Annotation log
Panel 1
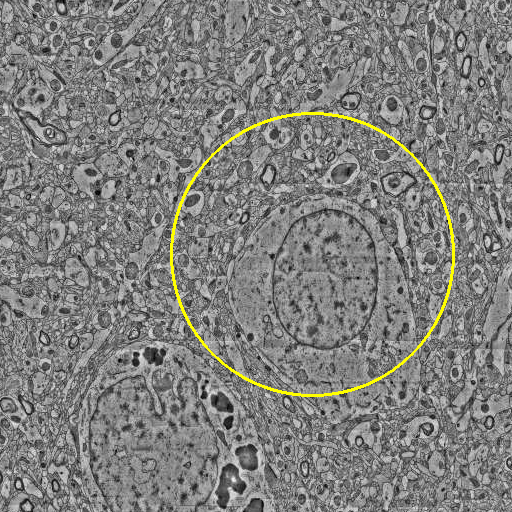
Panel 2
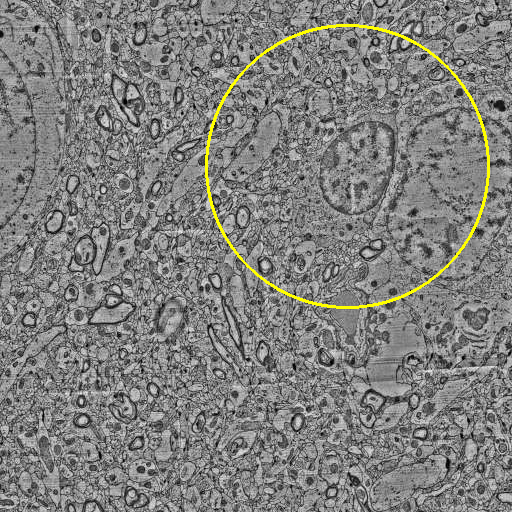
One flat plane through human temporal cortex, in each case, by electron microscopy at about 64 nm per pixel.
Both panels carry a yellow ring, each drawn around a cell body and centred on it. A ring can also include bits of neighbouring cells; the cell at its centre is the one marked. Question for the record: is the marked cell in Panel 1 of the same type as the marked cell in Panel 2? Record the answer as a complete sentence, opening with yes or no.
No, the marked cells in Panel 1 and Panel 2 are of two types.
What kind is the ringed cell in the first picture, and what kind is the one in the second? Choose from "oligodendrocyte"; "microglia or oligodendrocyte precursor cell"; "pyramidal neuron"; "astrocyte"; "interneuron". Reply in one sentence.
The first cell is a pyramidal neuron; the second is an oligodendrocyte.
